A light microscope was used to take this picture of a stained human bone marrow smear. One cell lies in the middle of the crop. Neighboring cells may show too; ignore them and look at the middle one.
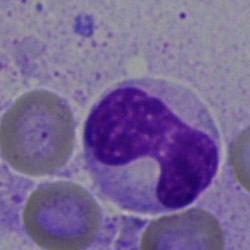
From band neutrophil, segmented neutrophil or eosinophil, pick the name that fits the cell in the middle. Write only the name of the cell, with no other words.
band neutrophil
